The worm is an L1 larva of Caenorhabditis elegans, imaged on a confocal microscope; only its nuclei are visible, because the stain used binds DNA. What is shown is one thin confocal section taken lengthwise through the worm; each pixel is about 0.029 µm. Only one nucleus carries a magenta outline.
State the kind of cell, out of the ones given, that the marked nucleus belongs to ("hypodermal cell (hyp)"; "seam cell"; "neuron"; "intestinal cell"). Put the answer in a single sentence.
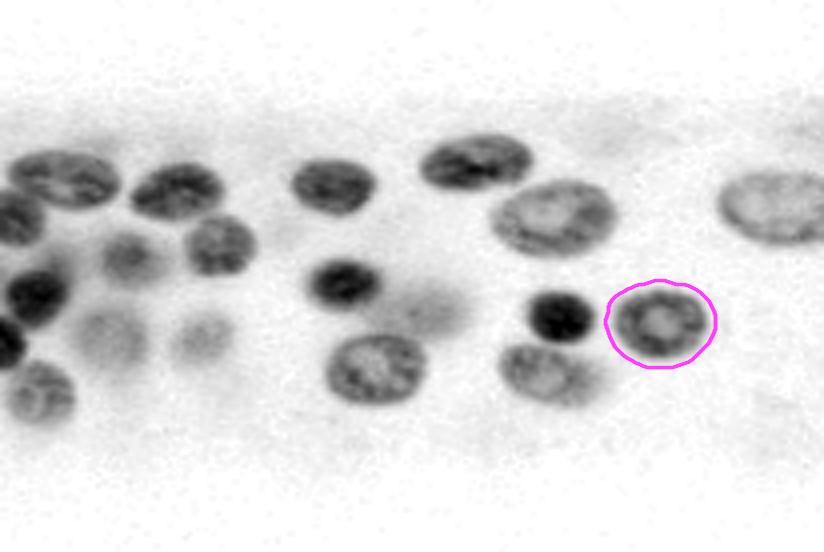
The marked nucleus belongs to a seam cell.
